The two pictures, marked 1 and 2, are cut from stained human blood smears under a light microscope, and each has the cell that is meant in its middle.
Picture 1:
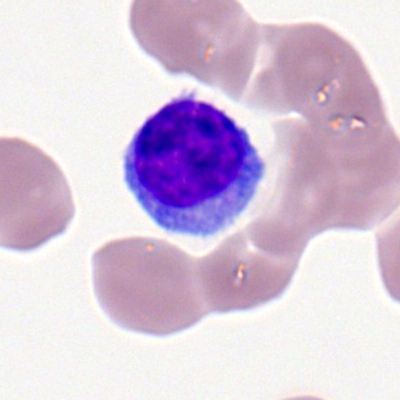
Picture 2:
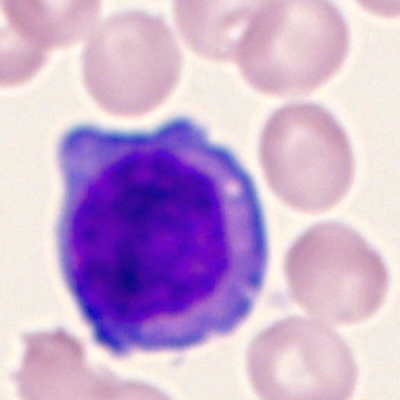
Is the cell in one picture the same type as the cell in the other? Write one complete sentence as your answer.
No, they differ: the cell is a lymphocyte in picture 1 and a myeloblast in picture 2.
